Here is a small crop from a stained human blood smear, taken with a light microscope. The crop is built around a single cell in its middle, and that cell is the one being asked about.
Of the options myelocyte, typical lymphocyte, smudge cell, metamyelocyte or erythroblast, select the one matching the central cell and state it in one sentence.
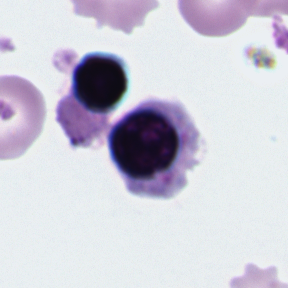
Framed in the middle of the crop is an erythroblast.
